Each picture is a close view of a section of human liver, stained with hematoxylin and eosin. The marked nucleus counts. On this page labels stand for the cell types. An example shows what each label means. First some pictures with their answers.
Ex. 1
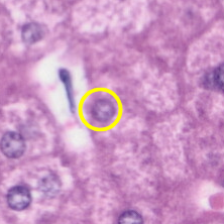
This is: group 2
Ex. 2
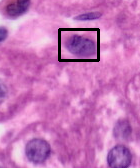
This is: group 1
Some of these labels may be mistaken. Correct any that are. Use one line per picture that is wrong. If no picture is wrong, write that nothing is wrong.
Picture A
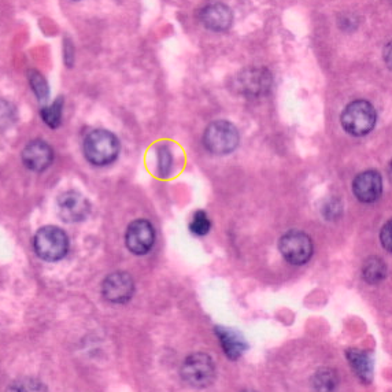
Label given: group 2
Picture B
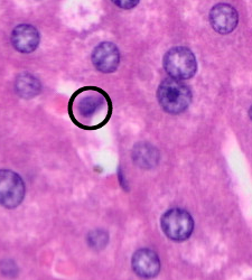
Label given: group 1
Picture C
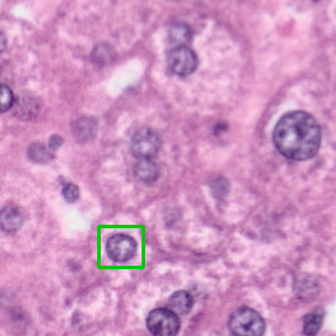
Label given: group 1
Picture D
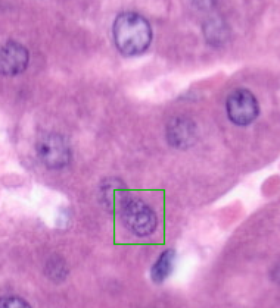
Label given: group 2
A: not group 2 but group 1
C: not group 1 but group 2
